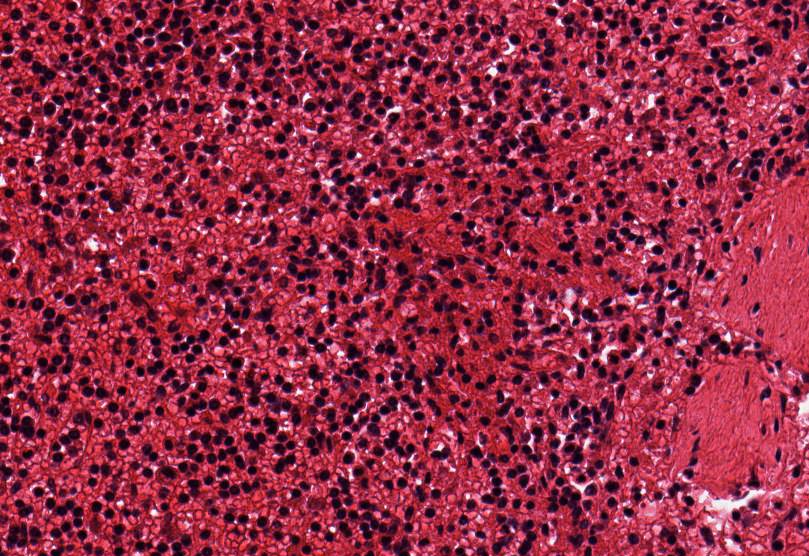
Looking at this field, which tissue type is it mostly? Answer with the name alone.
red pulp of the spleen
